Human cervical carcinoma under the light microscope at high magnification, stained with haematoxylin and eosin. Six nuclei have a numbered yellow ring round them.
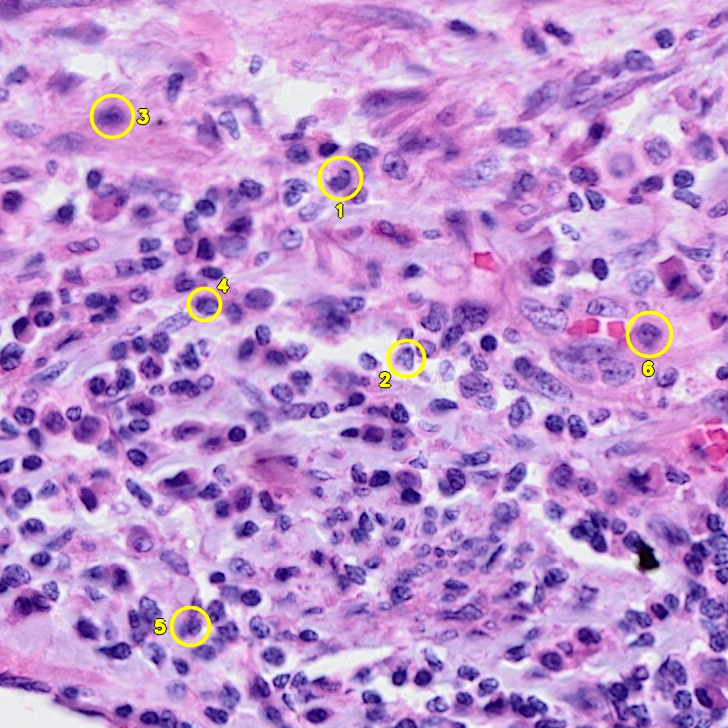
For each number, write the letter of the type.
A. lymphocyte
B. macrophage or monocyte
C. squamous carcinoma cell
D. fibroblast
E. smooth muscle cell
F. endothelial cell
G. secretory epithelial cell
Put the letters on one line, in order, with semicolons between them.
A; A; F; A; A; F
